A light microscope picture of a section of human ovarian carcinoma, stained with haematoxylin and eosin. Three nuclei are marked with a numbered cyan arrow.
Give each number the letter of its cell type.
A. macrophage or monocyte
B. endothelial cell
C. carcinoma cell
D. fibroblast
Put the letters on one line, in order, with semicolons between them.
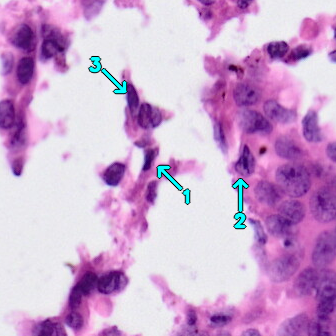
A; A; C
